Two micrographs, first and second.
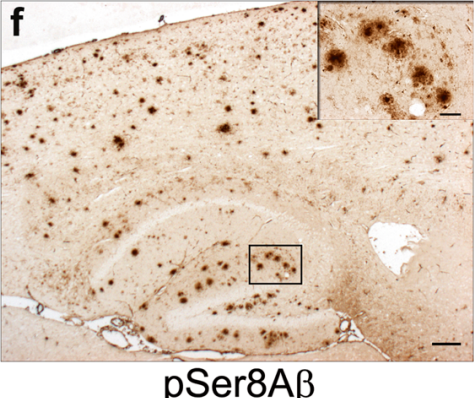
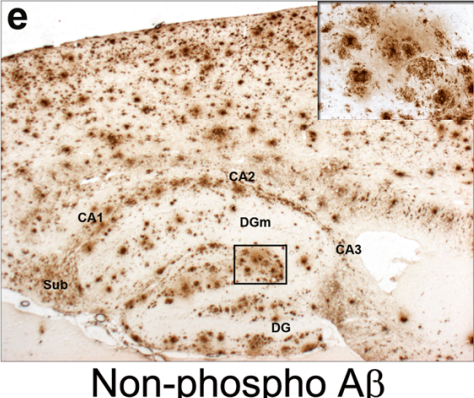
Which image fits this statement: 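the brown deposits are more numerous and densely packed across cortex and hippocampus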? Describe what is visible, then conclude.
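First image: brown deposits are scattered with clear background between them, fewer in the hippocampus. Second image: brown deposits crowd the cortex and line the hippocampal layers with diffuse brown between them. The answer: the second image.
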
